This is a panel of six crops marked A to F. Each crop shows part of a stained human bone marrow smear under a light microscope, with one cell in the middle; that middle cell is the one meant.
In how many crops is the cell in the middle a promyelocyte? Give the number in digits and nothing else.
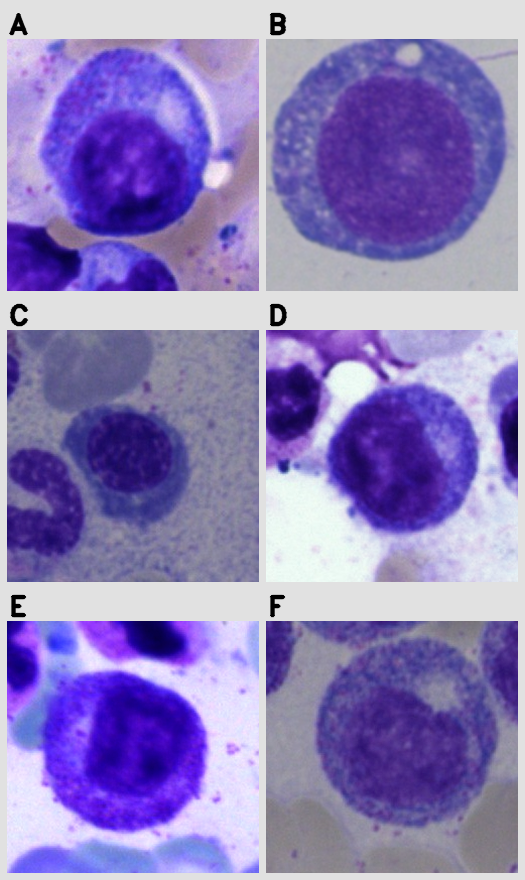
4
